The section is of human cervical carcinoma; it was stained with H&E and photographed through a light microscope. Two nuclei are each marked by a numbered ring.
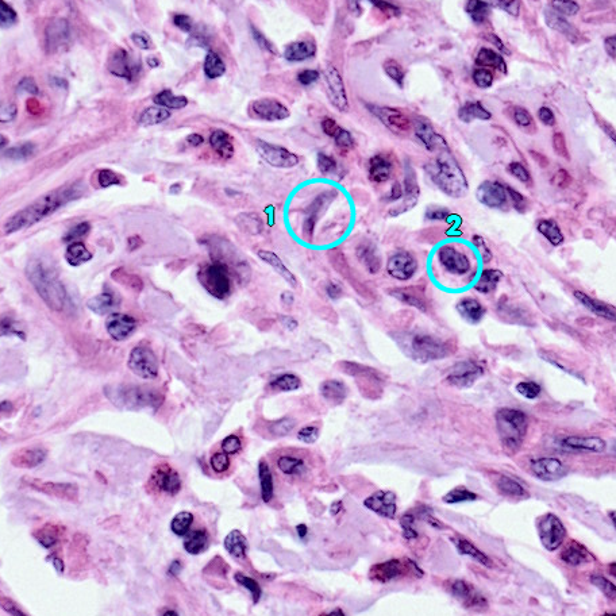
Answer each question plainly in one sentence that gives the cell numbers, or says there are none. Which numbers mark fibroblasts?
With the exception of cell 1, no marked cell is a fibroblast.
